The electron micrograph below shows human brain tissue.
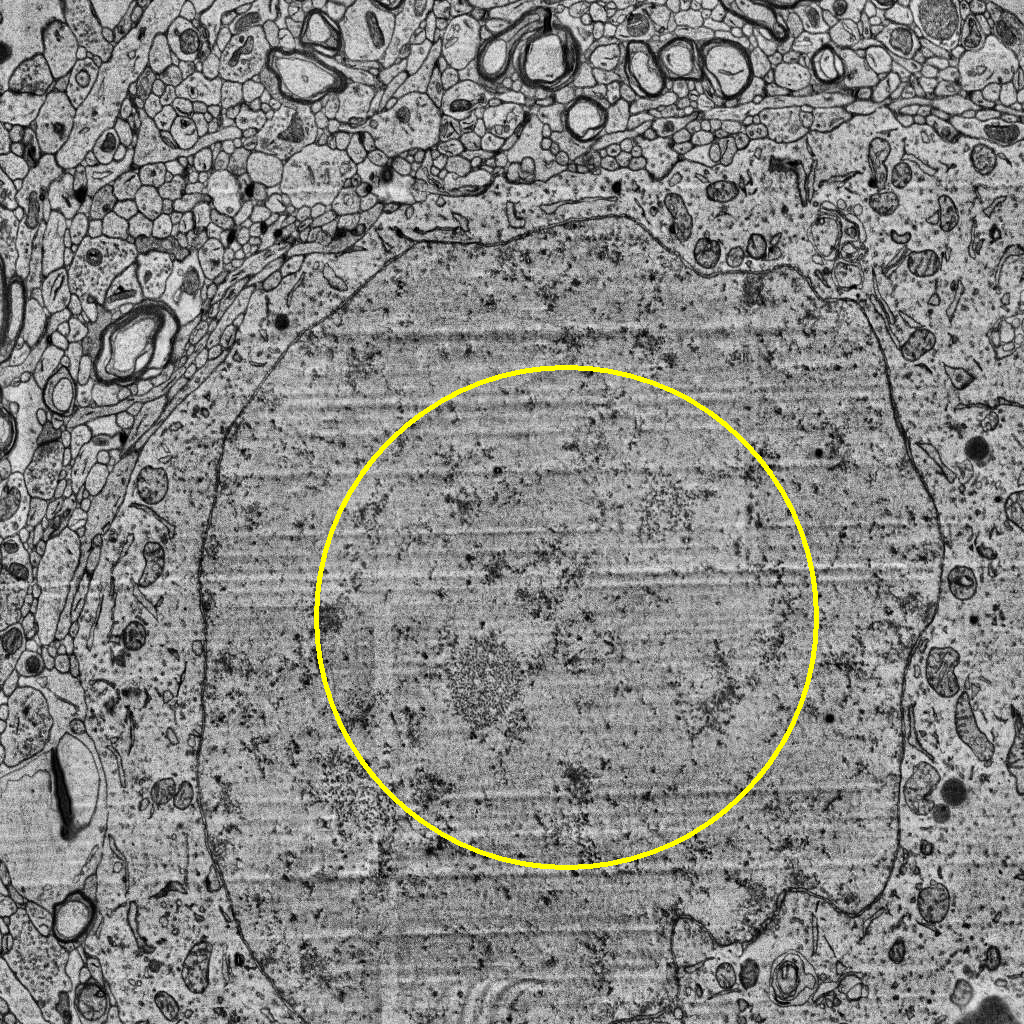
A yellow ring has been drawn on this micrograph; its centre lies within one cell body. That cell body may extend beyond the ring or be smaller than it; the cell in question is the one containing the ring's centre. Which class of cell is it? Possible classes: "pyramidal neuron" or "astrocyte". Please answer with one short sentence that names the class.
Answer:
In the centre of the ring sits a pyramidal neuron.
